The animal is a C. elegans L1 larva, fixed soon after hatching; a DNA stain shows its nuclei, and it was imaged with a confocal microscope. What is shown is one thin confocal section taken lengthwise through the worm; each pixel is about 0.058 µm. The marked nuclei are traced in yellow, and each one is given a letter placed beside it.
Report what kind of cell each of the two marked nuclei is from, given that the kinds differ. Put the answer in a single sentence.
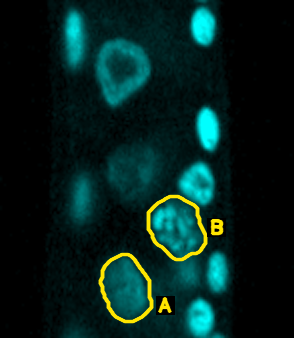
A is from an intestinal cell, and B is from a germ line precursor.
